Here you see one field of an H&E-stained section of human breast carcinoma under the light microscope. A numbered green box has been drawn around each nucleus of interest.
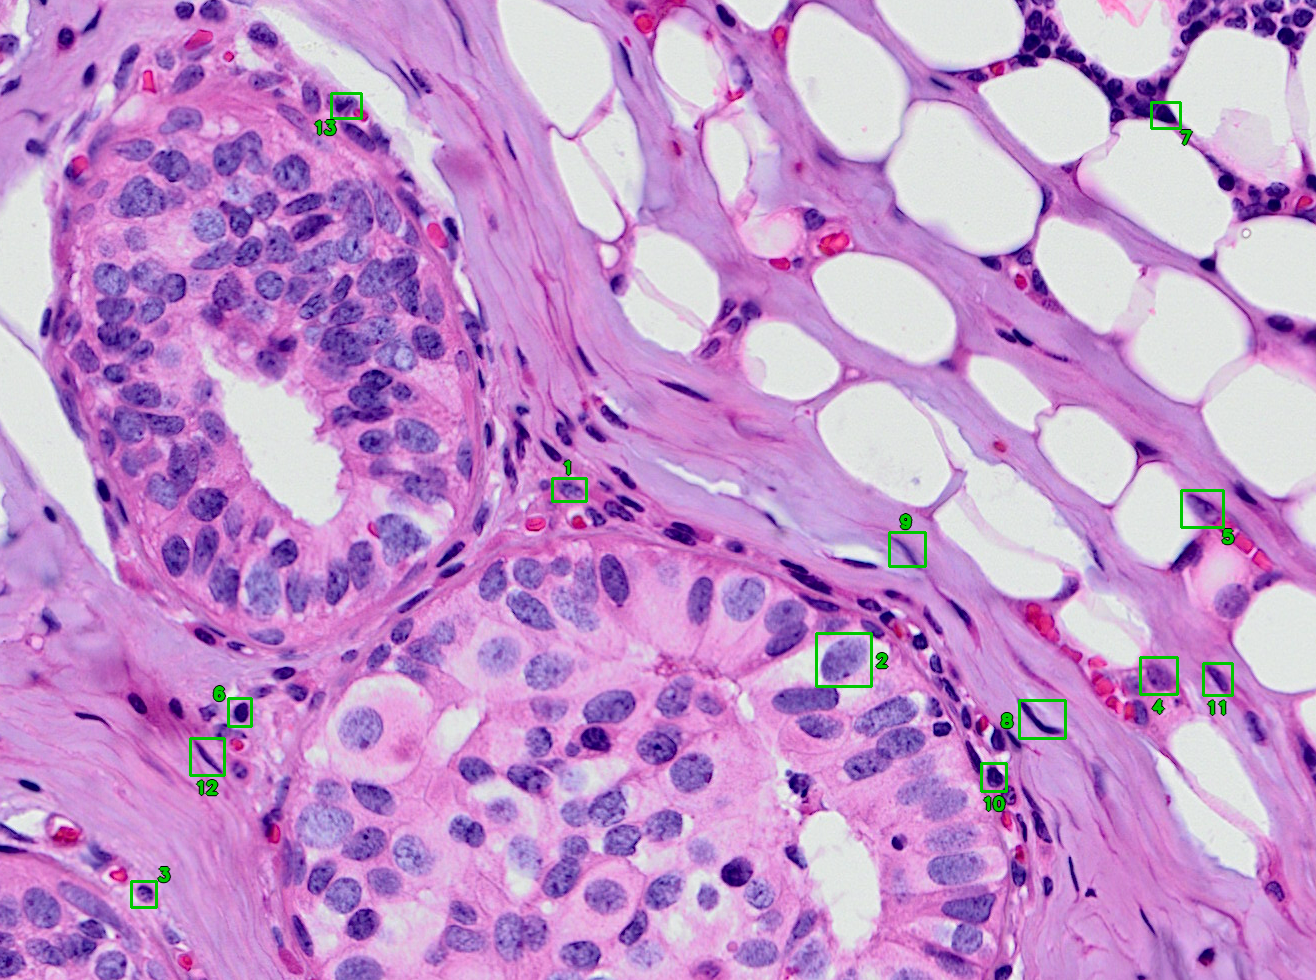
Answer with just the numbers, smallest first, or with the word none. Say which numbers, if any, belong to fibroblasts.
8, 9, 11, 12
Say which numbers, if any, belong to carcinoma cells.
2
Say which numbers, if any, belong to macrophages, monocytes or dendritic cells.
none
